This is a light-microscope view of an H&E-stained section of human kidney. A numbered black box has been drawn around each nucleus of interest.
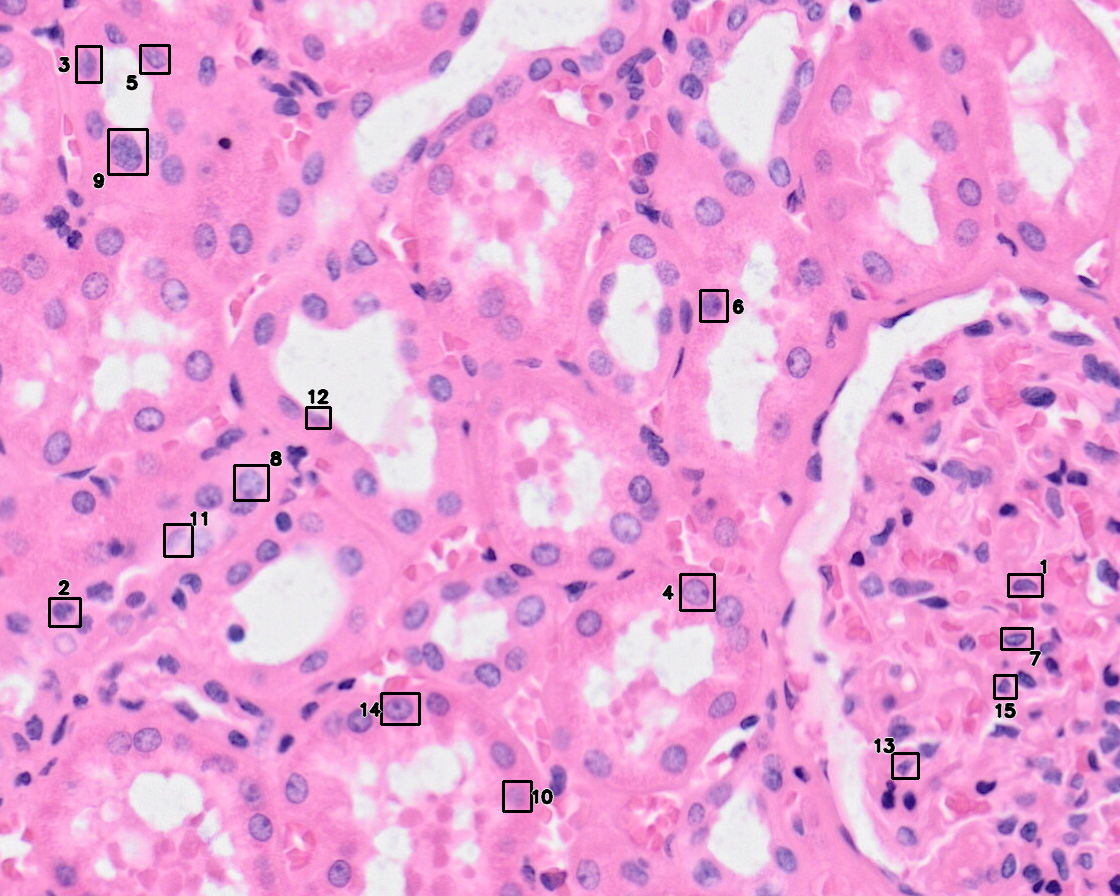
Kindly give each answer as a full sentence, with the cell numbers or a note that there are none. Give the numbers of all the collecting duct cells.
The identity of cells 2, 8 and 11: they are collecting duct cells.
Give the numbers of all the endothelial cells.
In this section, the cells labelled 1, 7, 13 and 15 are endothelial cells.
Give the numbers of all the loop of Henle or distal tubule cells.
The cells numbered 3, 5, 9 and 12 are, by type, loop of Henle or distal tubule cells.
